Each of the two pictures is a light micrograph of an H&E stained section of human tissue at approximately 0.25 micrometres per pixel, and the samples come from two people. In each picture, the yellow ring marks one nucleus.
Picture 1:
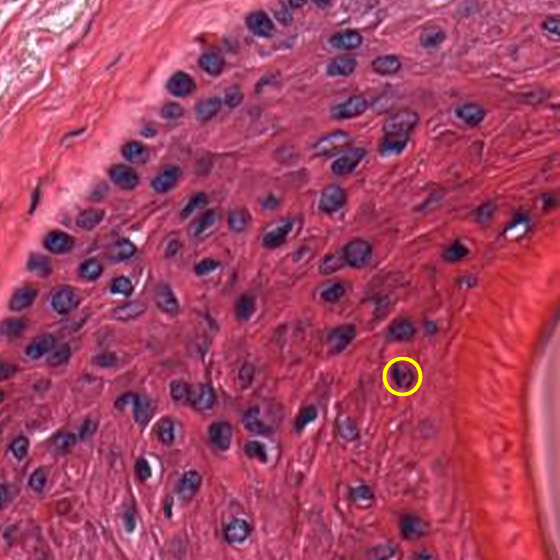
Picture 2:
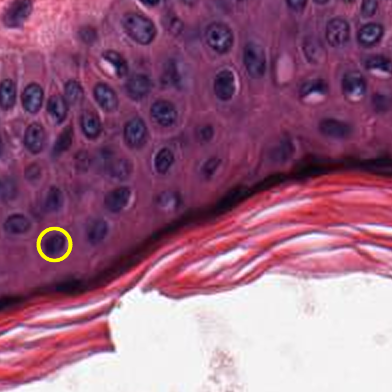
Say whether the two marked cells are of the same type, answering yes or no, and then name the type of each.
Yes, both are keratinocytes.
